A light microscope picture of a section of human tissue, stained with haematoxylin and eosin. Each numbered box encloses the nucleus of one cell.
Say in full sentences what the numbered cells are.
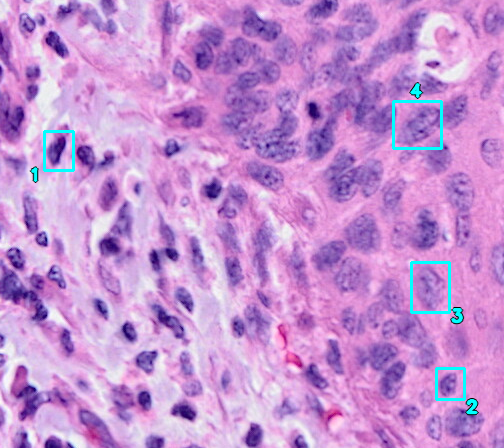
Cell 1 is a lymphocyte. Cells 2, 3 and 4 are squamous carcinoma cells.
